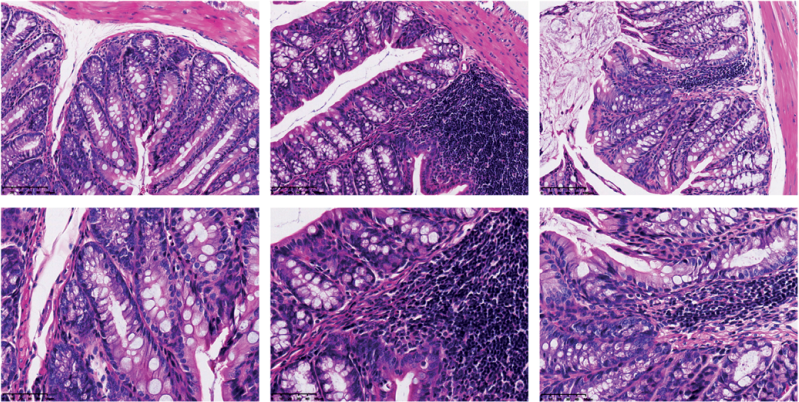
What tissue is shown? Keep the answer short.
Colon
